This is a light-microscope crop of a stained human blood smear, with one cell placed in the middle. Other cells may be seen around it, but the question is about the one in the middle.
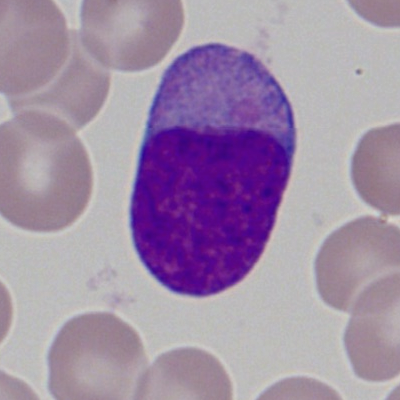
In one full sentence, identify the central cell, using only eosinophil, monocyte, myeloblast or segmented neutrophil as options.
Here the centrally located cell is a myeloblast.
